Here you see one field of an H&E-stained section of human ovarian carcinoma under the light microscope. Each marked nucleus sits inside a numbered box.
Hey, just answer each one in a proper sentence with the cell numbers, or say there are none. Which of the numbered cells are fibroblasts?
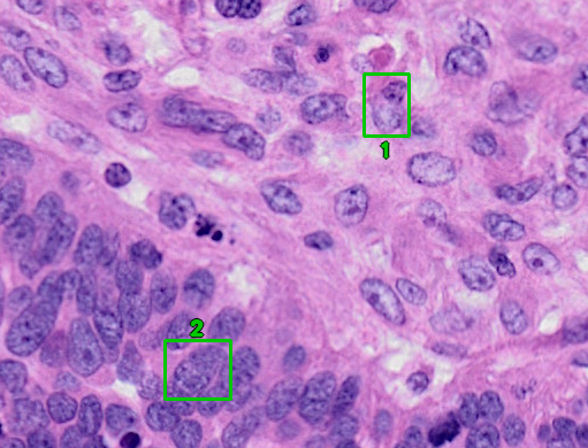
Cell 1 is a fibroblast, and this holds for no other numbered cell.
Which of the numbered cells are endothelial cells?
Numbered cell by numbered cell, the tally of endothelial cells stays at zero.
